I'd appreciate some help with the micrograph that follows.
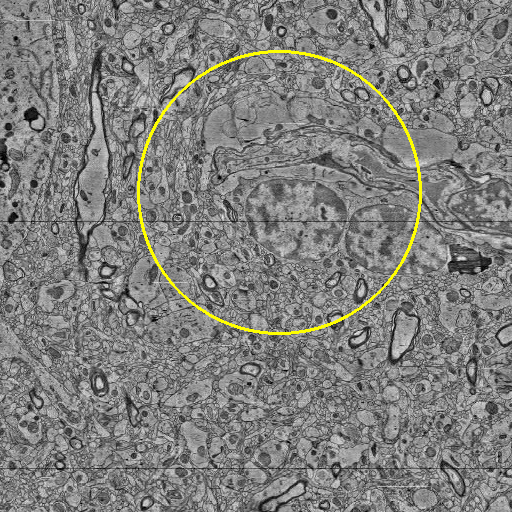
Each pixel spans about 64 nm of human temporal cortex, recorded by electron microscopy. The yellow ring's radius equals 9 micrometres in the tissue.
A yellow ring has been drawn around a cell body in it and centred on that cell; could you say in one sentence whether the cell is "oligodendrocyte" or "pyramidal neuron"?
It is an oligodendrocyte at the centre of the ring.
